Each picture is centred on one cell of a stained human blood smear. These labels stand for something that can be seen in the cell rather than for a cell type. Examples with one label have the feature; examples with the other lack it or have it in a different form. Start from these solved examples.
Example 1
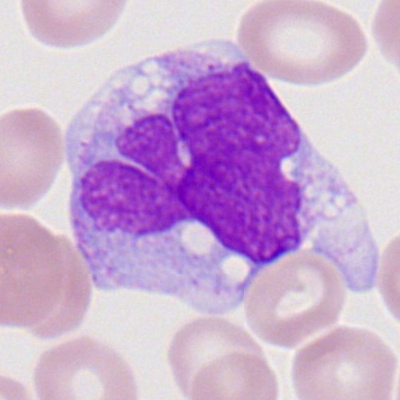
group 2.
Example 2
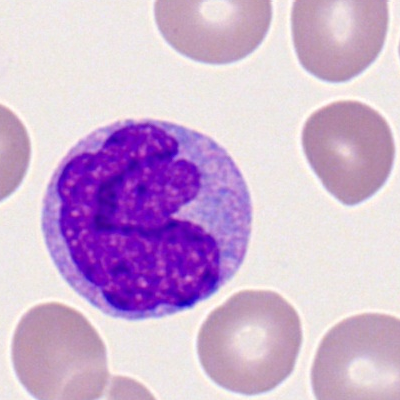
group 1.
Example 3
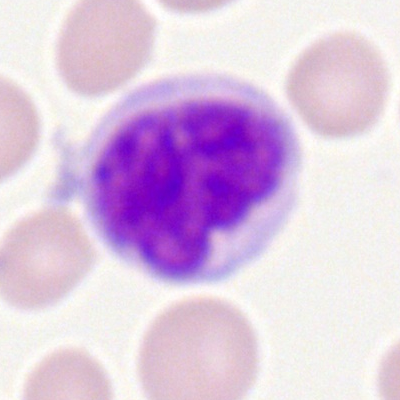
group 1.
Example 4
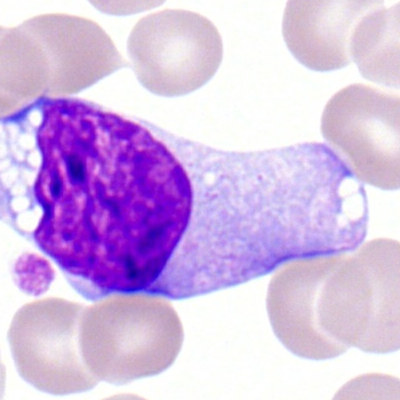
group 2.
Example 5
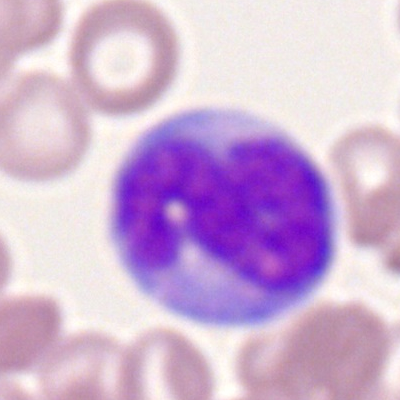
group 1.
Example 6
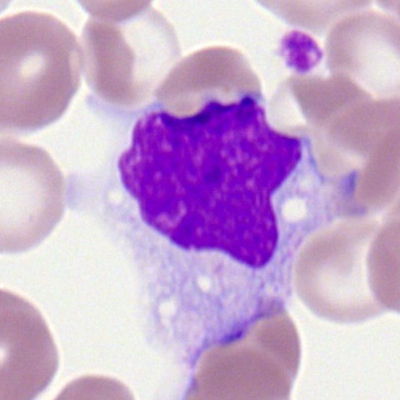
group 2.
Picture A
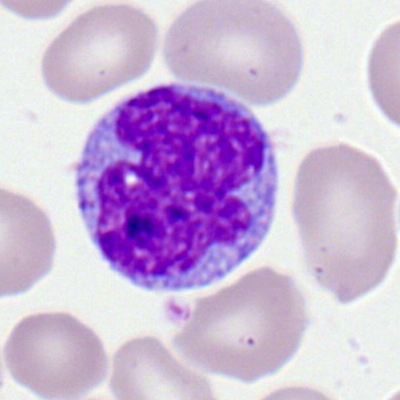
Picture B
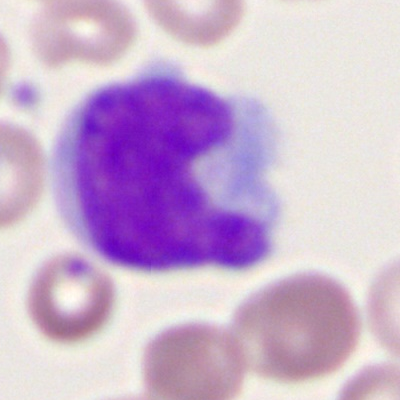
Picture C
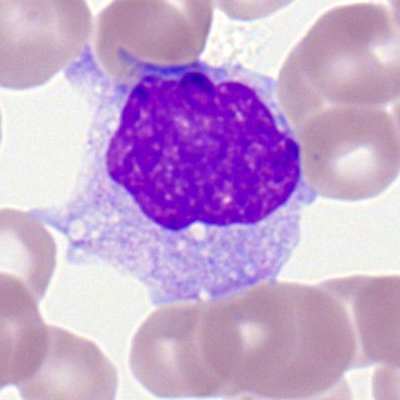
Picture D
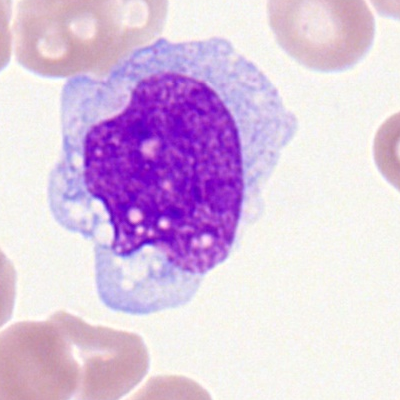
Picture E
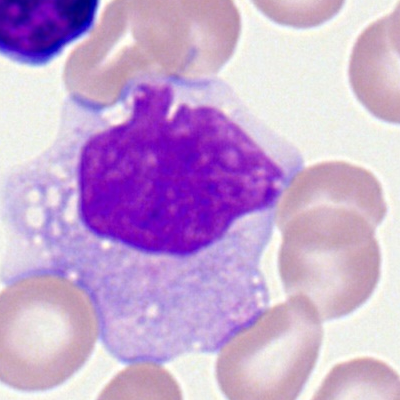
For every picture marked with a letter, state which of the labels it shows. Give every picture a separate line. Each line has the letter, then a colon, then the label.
A: group 1.
B: group 1.
C: group 2.
D: group 2.
E: group 2.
